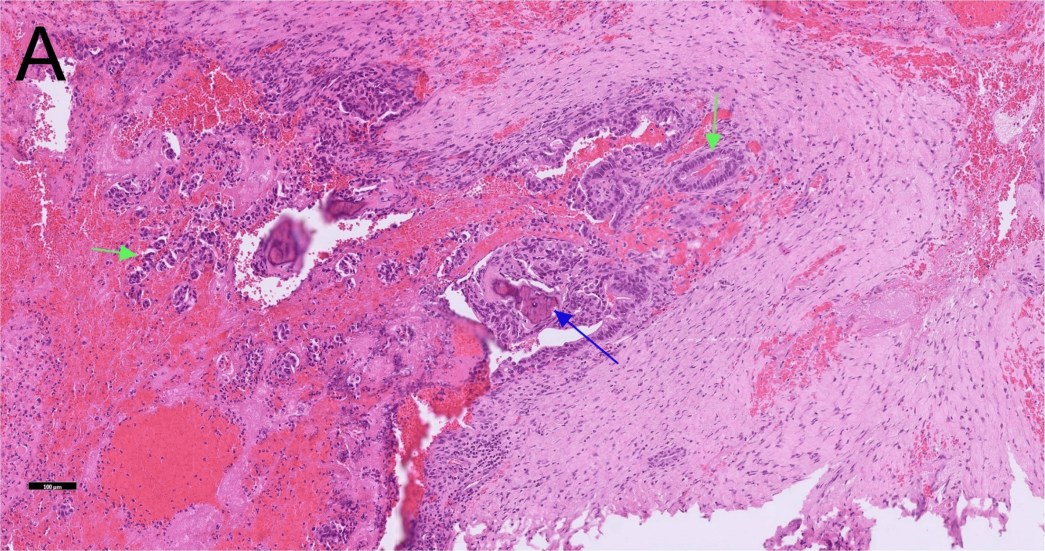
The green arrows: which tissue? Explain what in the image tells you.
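The green arrows point to small glands and tubules lined by crowded cells. The lining cells have dark, enlarged, crowded nuclei. The glands lie irregularly within pink fibrous stroma and blood. That points to this answer: adenocarcinoma.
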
